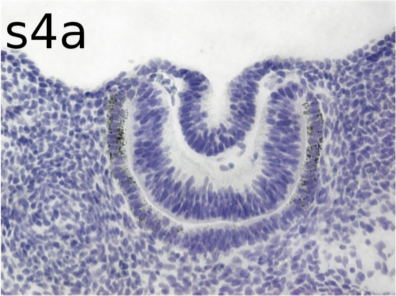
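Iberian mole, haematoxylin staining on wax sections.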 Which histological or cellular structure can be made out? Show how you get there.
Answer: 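A deep U-shaped invagination of a thickened epithelium opens to the surface. The invaginated epithelium is cupped by a second curved layer with dark granules. The answer: lens pit.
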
